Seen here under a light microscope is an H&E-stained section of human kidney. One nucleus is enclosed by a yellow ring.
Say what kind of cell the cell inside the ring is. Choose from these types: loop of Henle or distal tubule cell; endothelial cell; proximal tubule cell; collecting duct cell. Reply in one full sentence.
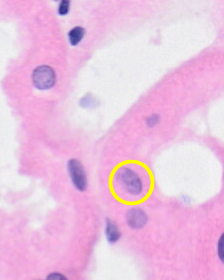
In the tissue under study, the cell inside the ring is a proximal tubule cell.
